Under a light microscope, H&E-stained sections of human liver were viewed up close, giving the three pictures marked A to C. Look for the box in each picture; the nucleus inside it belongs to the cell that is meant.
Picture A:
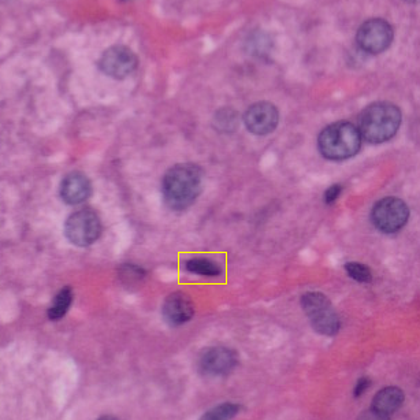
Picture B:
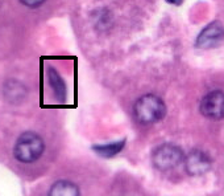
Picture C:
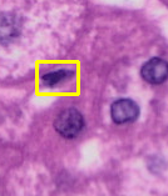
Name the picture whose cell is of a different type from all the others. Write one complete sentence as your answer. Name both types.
Unlike the rest, which show “fibroblasts or stellate cells”, picture C shows an endothelial cell.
